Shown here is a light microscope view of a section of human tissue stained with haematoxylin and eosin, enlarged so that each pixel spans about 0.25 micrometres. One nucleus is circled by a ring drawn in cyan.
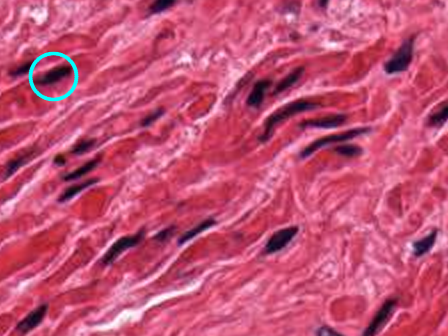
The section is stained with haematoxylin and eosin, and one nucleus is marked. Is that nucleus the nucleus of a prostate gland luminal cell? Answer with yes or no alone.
no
